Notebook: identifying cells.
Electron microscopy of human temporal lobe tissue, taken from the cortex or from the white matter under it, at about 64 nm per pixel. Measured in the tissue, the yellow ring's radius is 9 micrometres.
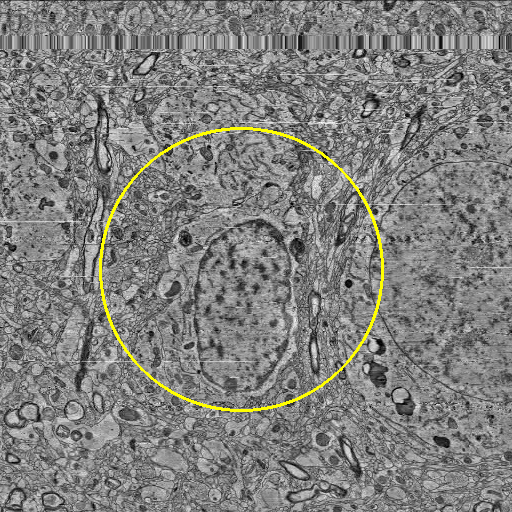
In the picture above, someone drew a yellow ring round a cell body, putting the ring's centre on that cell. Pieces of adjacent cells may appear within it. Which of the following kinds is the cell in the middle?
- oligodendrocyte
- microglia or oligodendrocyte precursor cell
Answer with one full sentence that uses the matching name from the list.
In this picture, the yellow ring is centred on the body of a microglial cell or oligodendrocyte precursor cell.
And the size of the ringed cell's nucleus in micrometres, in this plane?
In this plane the nucleus is roughly 11 by 6 micrometres, clearly longer than it is wide.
